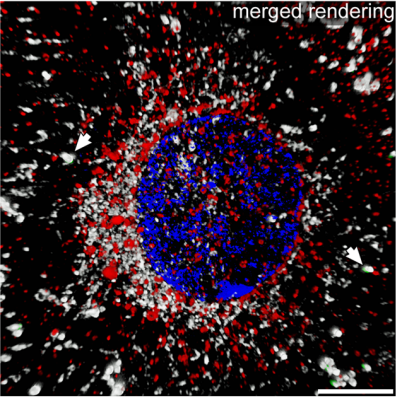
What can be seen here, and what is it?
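A single cell is seen with one large oval blue nucleus in the middle of the field. Dense white granules crowd the region around the nucleus and spread outward in streaks toward the cell's edges, giving a radiating pattern. Many small red dots are scattered through the cytoplasm, more loosely than the white granules, and some lie over the nucleus in this projection.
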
